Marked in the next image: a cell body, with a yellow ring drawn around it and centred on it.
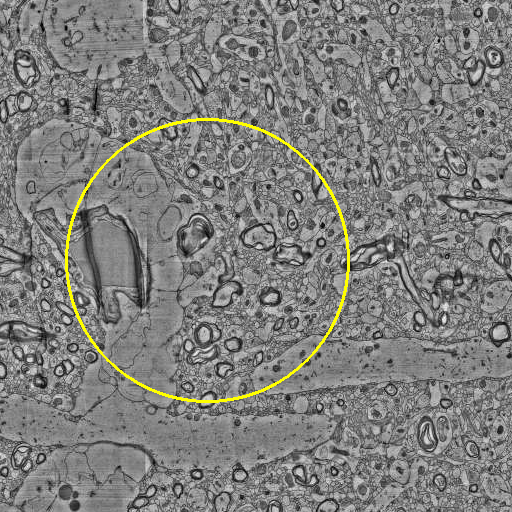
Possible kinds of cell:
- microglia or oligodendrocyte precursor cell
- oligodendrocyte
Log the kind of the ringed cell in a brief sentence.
The ringed cell body is that of an oligodendrocyte.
